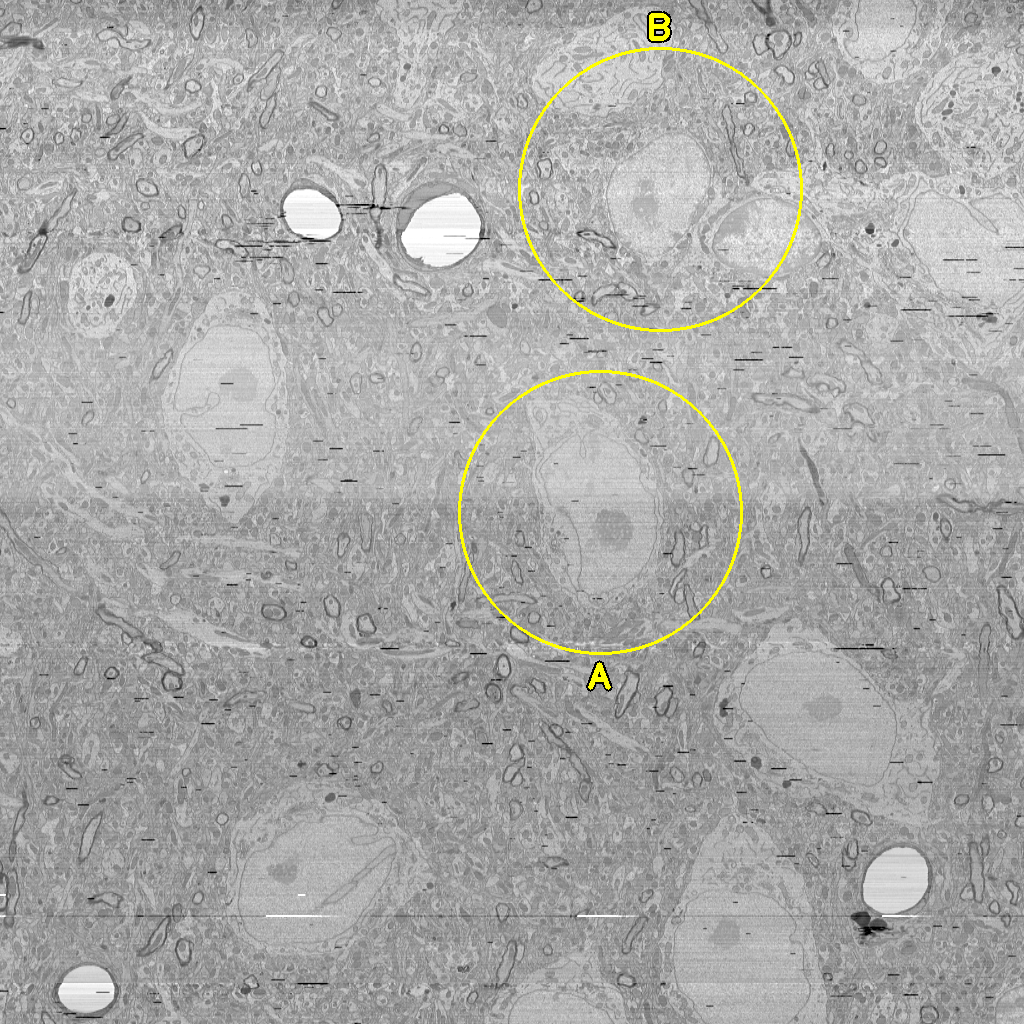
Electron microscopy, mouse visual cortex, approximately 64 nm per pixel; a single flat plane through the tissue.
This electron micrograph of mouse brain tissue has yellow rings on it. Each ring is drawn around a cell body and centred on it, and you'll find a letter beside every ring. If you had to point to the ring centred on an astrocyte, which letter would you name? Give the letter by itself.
B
